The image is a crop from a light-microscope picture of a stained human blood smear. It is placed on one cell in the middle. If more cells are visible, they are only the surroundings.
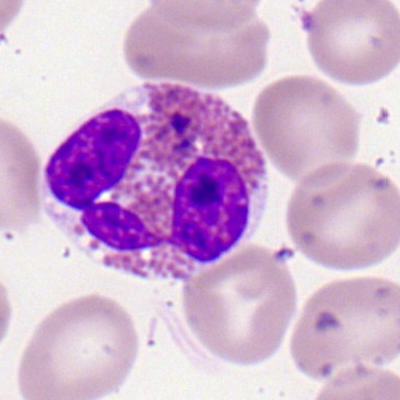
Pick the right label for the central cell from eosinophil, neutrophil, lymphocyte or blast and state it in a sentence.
Where the crop is centred, there is an eosinophil.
